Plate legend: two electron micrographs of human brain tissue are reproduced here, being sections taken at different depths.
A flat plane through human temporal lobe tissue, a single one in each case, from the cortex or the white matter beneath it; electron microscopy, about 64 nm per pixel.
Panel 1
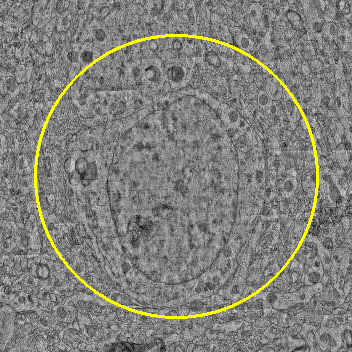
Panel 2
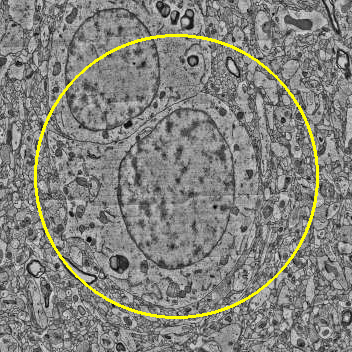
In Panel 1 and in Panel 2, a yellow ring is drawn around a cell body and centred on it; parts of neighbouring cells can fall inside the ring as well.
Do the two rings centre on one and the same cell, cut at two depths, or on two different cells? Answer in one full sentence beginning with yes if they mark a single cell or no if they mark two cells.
Yes, the two rings belong to one cell, not to two.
